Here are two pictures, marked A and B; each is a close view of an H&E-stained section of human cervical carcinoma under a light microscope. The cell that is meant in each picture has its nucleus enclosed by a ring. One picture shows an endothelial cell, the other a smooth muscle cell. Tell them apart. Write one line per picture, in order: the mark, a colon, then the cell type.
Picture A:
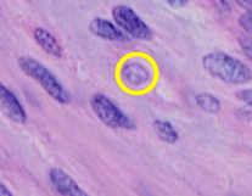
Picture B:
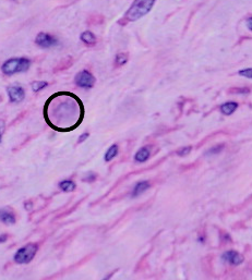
A: endothelial cell
B: smooth muscle cell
